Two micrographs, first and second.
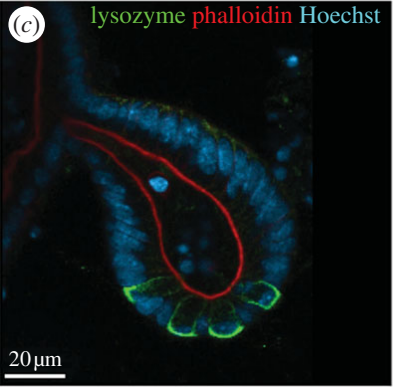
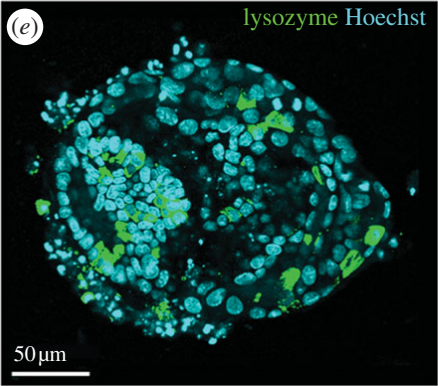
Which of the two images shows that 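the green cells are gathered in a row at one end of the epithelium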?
The first image.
